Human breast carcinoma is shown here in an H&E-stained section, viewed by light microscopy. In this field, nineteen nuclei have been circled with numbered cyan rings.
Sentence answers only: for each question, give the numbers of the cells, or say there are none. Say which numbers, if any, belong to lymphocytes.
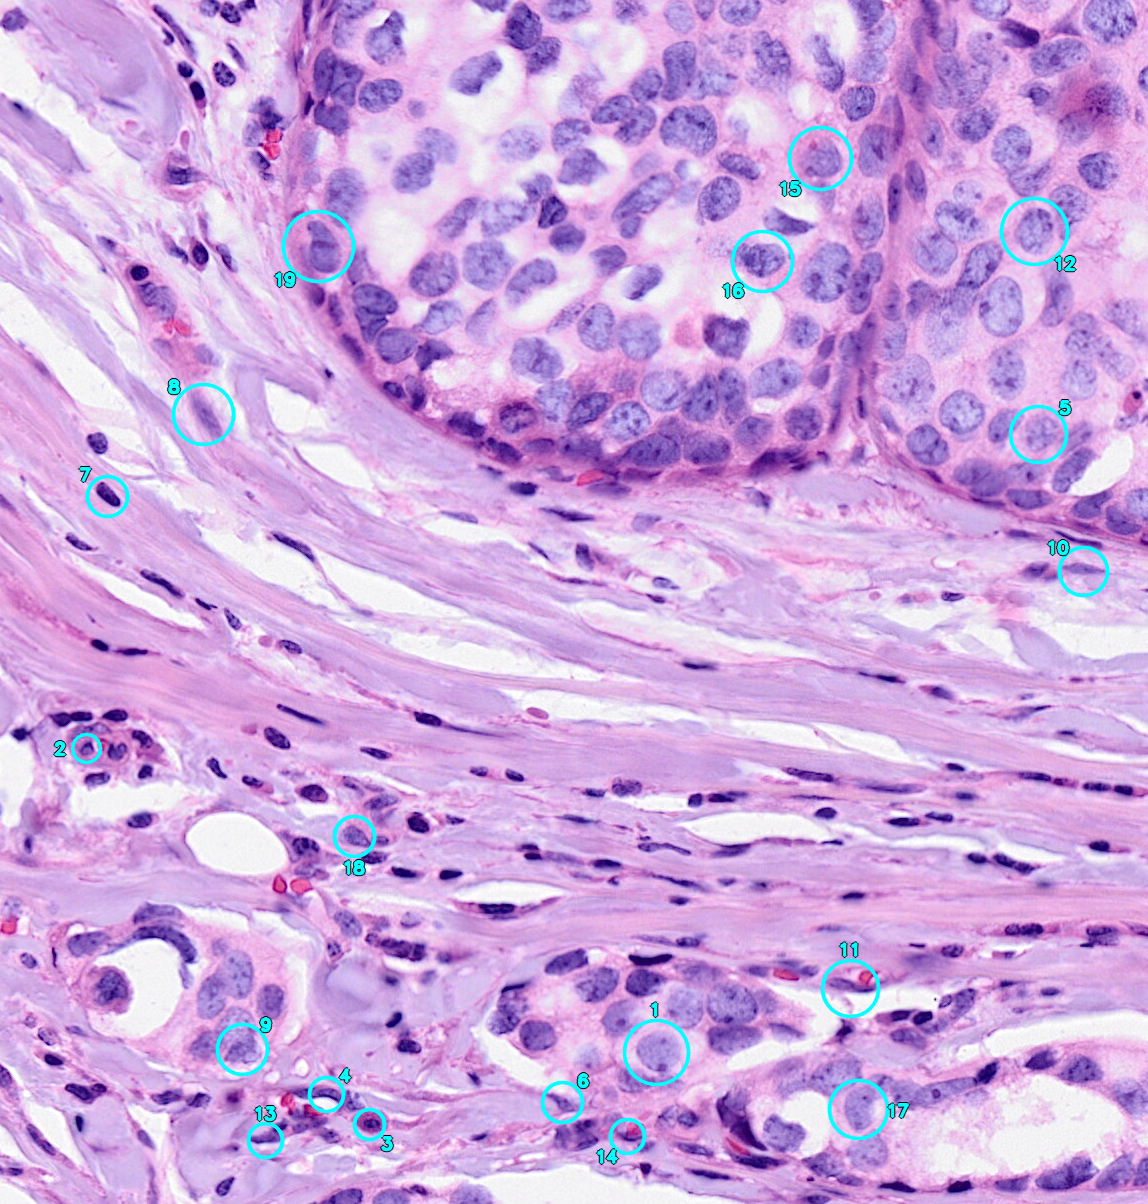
Among the labelled cells, only the cell labelled 7 is a lymphocyte.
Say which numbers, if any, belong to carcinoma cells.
The cells the numbers 1, 5, 9, 12, 15, 16, 17 and 19 point to are carcinoma cells.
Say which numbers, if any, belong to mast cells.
Cell 3 is the one numbered cell that is a mast cell.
